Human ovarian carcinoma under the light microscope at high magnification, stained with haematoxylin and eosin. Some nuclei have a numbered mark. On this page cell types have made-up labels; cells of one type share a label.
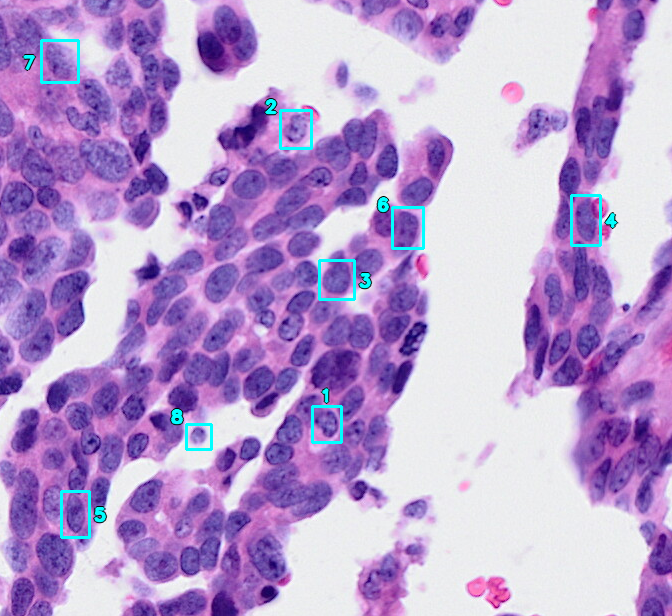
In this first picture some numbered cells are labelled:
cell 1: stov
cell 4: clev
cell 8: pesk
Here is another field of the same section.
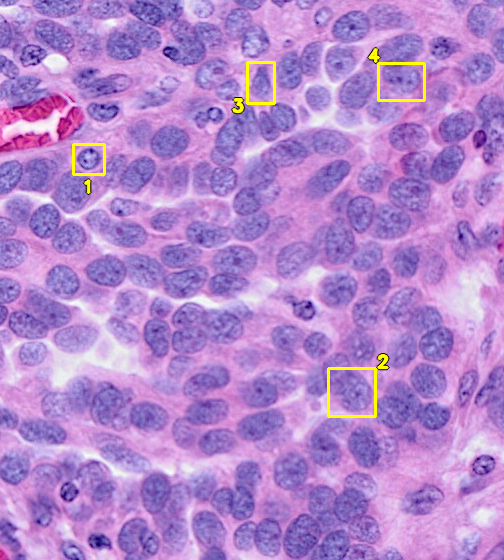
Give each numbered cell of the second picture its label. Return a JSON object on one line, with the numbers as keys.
{"1": "stov", "2": "clev", "3": "clev", "4": "clev"}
